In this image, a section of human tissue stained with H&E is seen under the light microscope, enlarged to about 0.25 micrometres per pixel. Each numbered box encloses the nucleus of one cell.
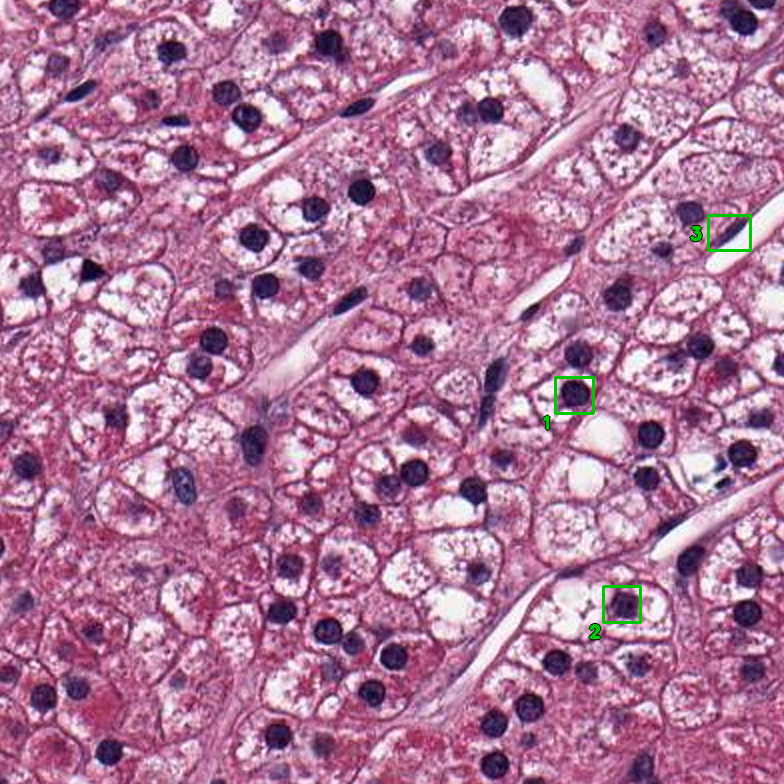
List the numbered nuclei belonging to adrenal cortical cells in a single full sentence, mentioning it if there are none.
The nuclei numbered 1 and 2 are contained in adrenal cortical cells.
